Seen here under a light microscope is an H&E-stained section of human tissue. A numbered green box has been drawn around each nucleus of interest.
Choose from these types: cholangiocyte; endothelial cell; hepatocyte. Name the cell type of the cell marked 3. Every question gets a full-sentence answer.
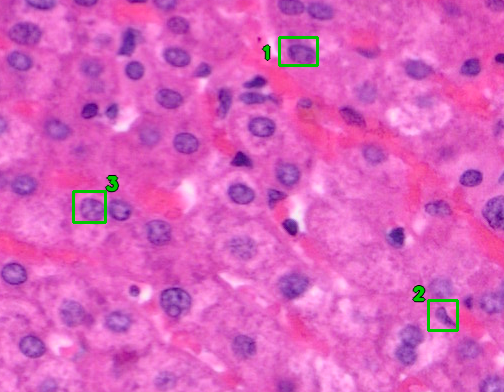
That cell with number 3 is a hepatocyte.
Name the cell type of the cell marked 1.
Number 1 among the marked cells is a hepatocyte.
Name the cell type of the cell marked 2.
The mark numbered 2 indicates the nucleus of an endothelial cell.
